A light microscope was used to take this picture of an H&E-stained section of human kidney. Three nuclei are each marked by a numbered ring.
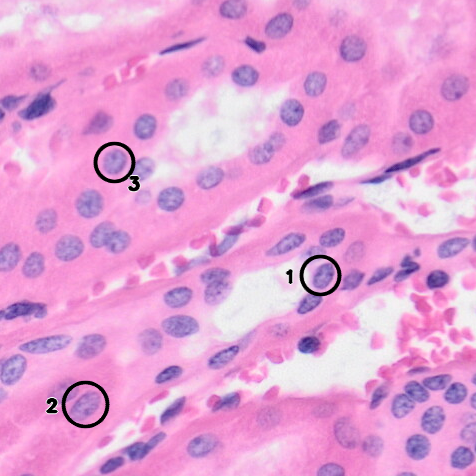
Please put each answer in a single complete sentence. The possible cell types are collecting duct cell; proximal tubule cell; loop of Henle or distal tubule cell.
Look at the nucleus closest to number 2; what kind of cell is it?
Closest to number 2 lies the nucleus of a proximal tubule cell.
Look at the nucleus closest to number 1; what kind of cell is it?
It is a collecting duct cell whose nucleus is nearest to number 1.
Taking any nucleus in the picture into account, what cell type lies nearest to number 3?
The nucleus nearest to number 3 is that of a loop of Henle or distal tubule cell.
